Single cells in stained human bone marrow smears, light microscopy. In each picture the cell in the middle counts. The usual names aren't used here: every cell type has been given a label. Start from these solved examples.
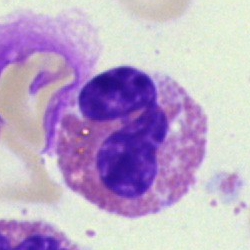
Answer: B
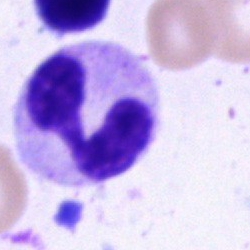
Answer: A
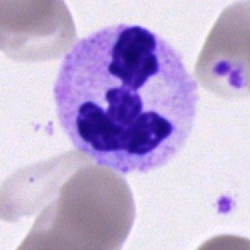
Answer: A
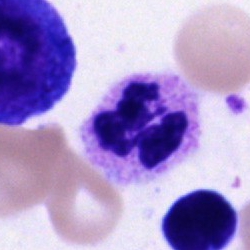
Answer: A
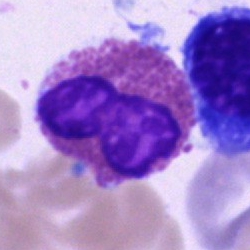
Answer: B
